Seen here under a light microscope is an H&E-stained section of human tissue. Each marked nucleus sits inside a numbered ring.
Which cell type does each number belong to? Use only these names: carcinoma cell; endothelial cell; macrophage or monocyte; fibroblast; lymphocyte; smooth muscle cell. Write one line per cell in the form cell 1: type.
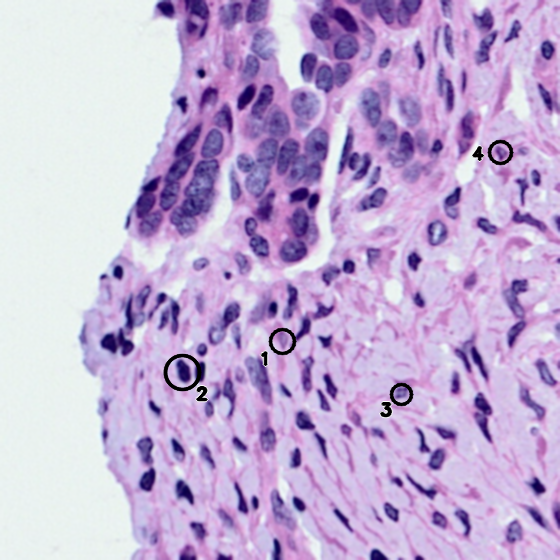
cell 1: fibroblast
cell 2: lymphocyte
cell 3: fibroblast
cell 4: fibroblast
